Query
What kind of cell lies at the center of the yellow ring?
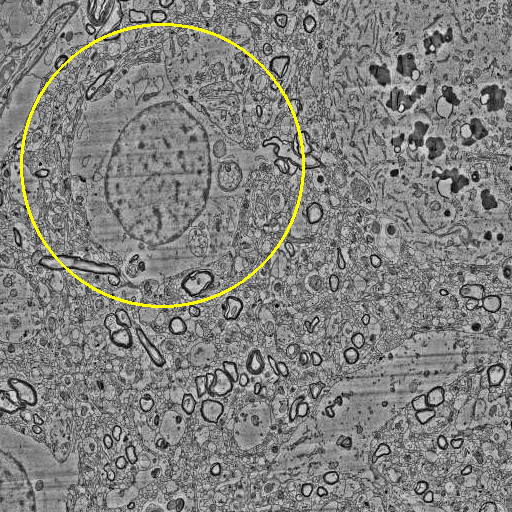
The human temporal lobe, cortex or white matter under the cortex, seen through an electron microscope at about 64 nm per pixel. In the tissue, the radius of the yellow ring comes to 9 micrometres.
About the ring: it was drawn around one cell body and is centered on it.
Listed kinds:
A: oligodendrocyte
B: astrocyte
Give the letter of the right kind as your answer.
B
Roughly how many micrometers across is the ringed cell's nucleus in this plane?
Approximately 9 x 7 micrometres in this plane.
